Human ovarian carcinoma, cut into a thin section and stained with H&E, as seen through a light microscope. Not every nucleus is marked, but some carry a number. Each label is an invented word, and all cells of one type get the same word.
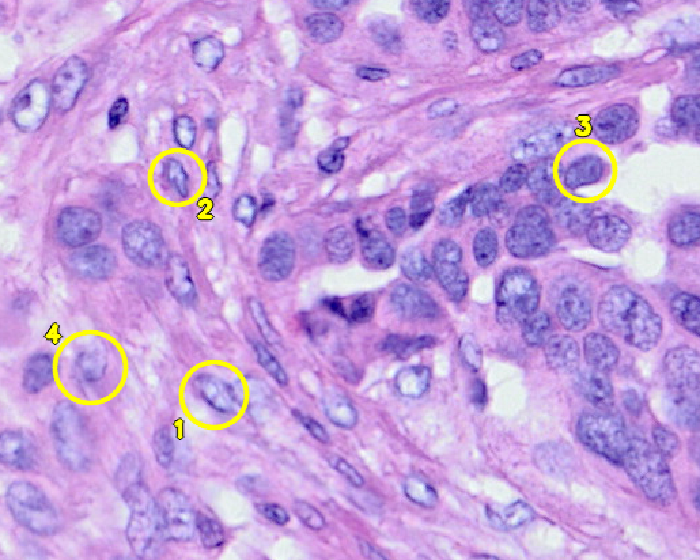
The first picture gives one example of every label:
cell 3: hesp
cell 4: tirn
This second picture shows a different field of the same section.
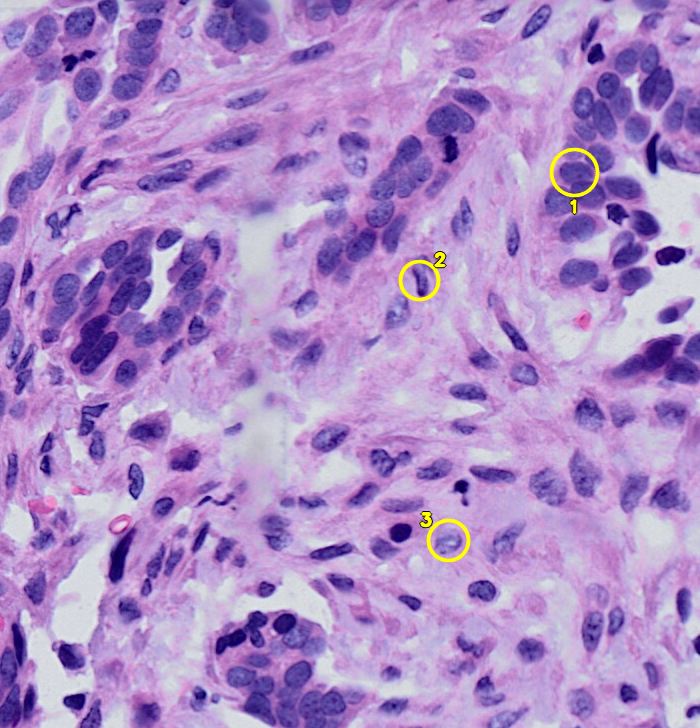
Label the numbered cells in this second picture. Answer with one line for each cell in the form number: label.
1: hesp
2: tirn
3: tirn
